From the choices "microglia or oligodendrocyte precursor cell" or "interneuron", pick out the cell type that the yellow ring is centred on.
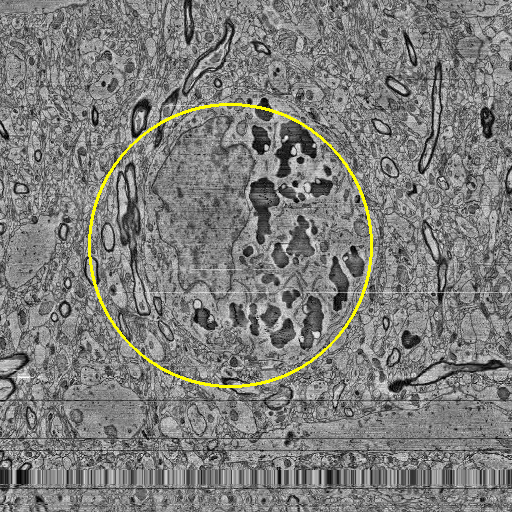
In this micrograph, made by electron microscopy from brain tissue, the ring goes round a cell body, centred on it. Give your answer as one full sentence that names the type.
The yellow ring is centred on an interneuron, whose cell body it encircles in the picture.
